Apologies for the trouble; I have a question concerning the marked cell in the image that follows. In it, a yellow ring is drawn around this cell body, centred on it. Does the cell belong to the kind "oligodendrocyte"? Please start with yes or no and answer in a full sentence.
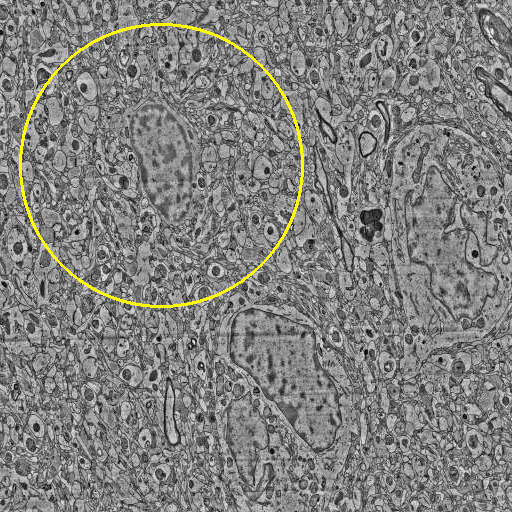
Yes, the cell at the centre of the ring in the picture is of that kind.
